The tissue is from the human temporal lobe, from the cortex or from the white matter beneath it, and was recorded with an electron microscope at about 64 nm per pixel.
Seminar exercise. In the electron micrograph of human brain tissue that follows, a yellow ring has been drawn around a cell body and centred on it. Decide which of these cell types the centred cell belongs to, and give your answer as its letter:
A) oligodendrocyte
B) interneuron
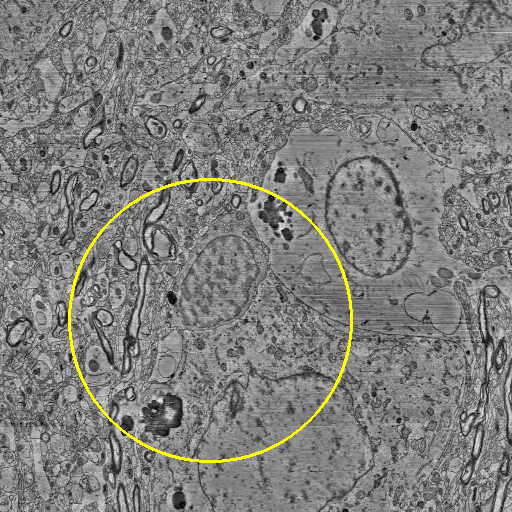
A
